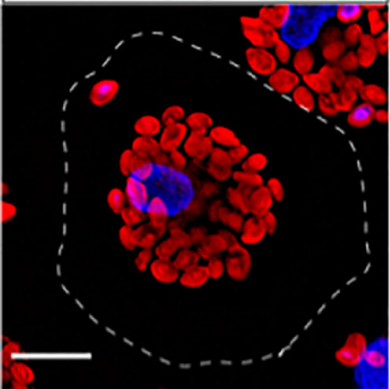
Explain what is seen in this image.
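This is a single large, flattened macrophage whose border is traced by a white dashed line. Inside it, dozens of red oval particles have been taken up and are packed into a dense cluster in the middle of the cell. The blue, rounded nucleus sits within this cluster, partly overlapped by the particles. The outer spread part of the cell is almost free of particles. Outside the outline, further particles and parts of neighbouring cells with blue nuclei appear at the corners.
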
